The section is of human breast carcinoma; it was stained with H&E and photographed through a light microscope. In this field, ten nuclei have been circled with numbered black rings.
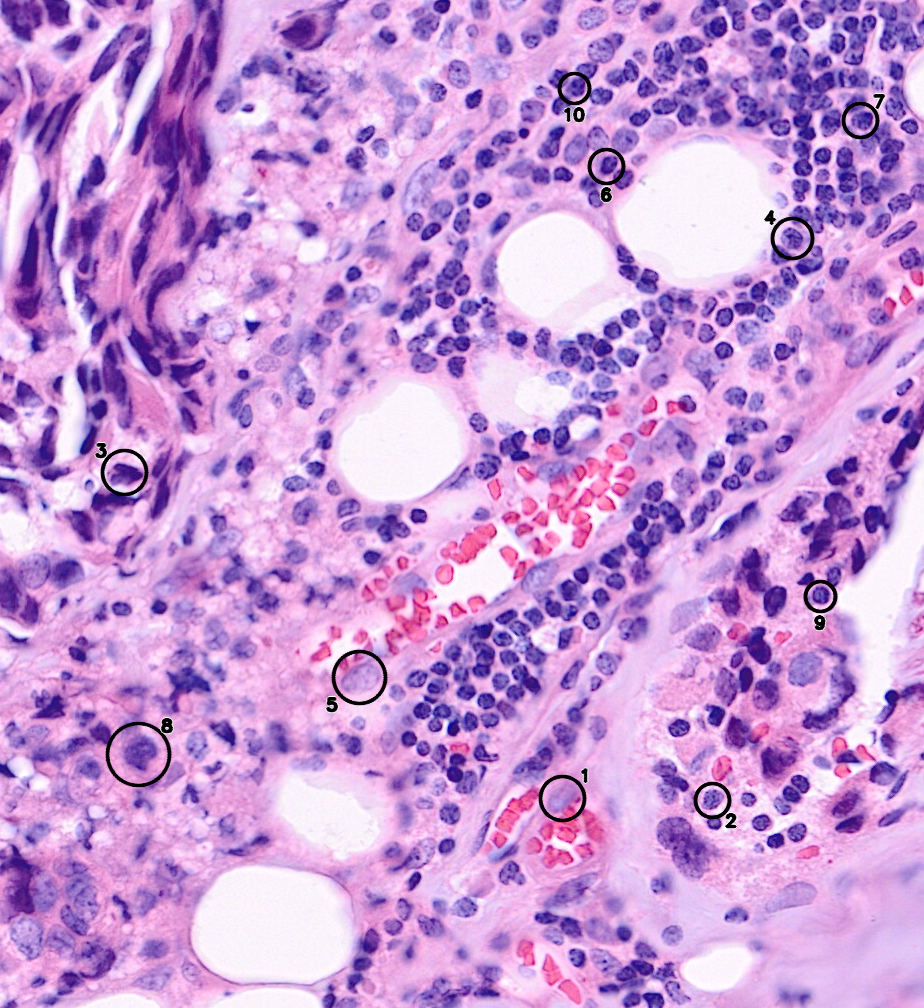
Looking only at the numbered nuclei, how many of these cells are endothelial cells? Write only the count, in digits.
2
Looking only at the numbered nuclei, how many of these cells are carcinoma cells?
2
